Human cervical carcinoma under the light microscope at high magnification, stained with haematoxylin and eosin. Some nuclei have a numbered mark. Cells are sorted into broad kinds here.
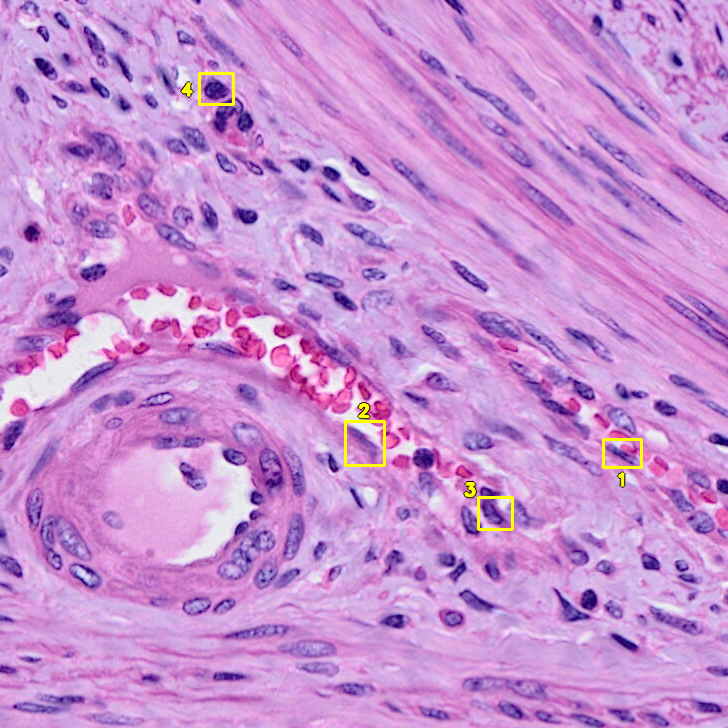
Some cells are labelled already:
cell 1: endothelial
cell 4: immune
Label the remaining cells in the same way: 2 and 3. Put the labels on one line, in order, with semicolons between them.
endothelial; endothelial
